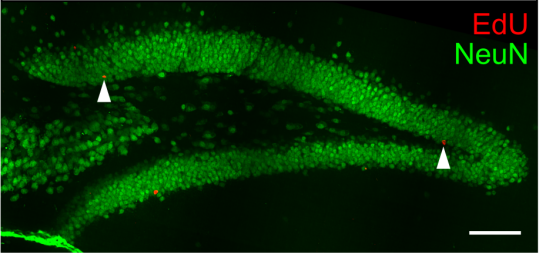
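The granule cells form two curved blades, an upper and a lower one, that meet at a rounded crest on the right. Between the blades lies a sparser region with only scattered green nuclei, and at the left larger, more loosely arranged neurons extend in toward it. A few tiny red nuclei stand out, some at the edge of the granule cell layer where arrowheads point to them. The dense blade arrangement of small round neurons is the typical architecture of the dentate granule cell layer.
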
